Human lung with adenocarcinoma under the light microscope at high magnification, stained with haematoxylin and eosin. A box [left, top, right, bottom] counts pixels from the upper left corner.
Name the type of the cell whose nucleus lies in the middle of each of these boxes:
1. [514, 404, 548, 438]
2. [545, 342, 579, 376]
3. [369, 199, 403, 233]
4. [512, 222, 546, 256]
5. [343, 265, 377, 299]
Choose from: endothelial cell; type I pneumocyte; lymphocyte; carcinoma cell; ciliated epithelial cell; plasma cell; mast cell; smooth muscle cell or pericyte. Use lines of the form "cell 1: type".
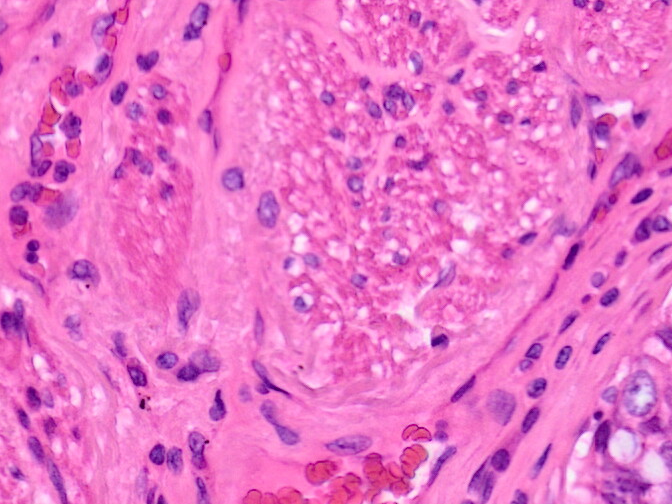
cell 1: plasma cell
cell 2: mast cell
cell 3: smooth muscle cell or pericyte
cell 4: smooth muscle cell or pericyte
cell 5: smooth muscle cell or pericyte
